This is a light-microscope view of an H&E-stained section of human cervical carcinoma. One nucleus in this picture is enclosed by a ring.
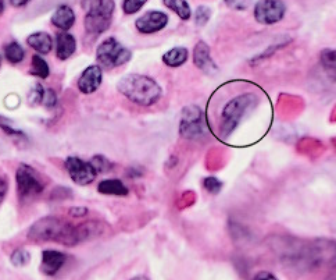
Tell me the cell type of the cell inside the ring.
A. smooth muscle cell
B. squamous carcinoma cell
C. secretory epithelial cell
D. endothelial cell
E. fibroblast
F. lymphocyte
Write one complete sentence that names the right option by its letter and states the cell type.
Option D is the correct one, since the cell inside the ring is an endothelial cell.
